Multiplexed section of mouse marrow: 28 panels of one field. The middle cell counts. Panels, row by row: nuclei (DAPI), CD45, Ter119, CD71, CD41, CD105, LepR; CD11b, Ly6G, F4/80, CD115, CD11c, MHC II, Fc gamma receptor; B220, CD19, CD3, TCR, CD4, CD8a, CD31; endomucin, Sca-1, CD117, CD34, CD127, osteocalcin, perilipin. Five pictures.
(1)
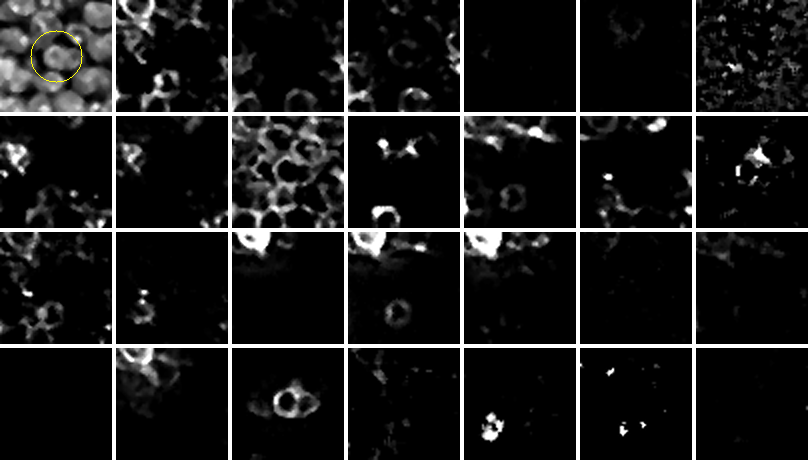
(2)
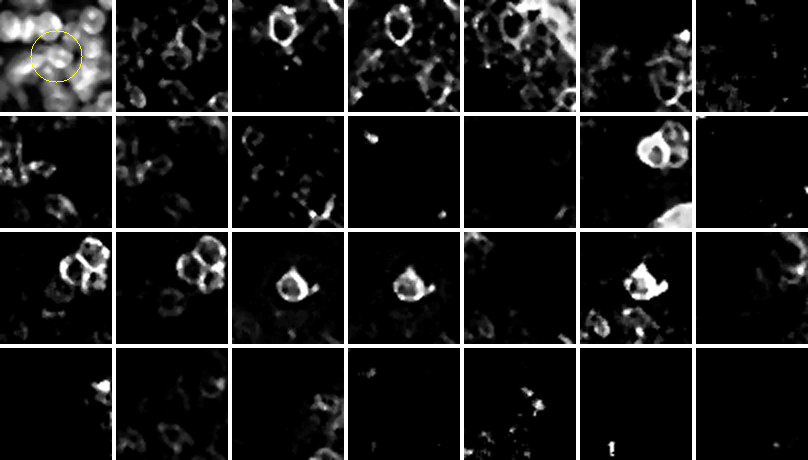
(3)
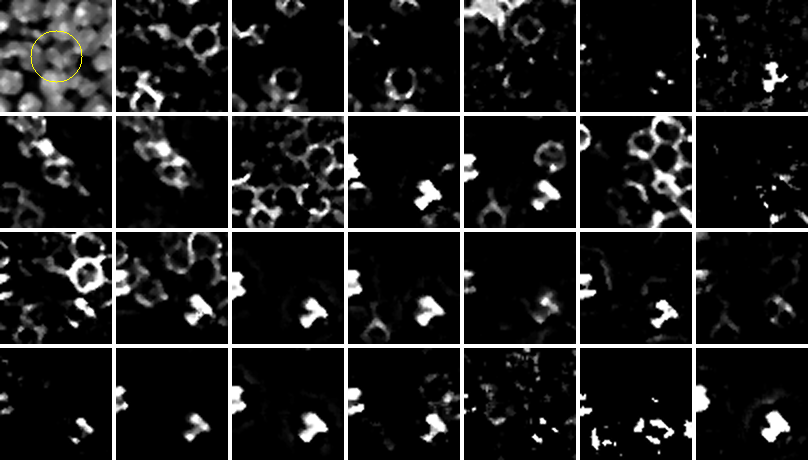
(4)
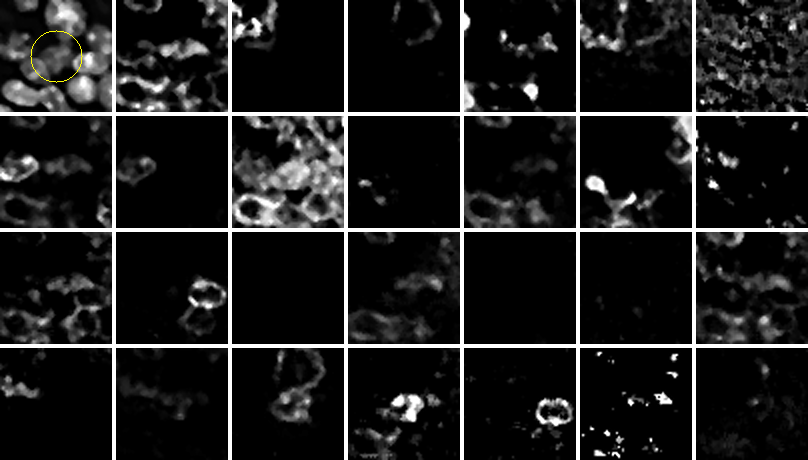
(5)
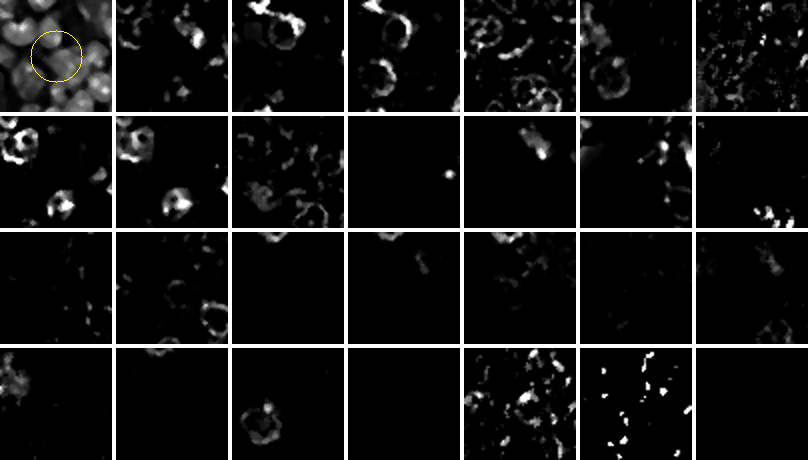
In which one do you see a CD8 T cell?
In picture 2.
